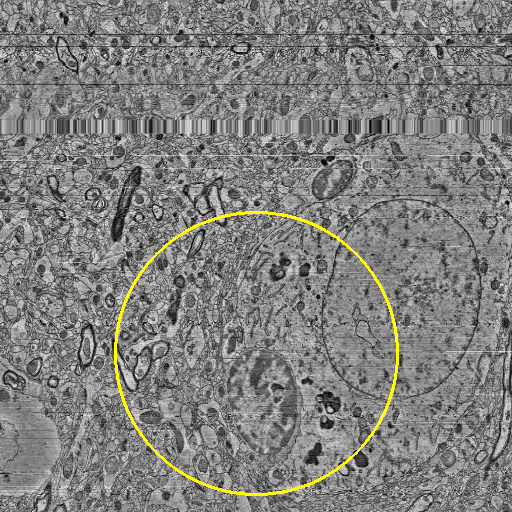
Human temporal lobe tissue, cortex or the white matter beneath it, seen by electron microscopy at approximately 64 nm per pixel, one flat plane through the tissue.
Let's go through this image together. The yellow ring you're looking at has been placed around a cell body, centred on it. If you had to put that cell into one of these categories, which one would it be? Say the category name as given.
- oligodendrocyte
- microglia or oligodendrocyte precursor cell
oligodendrocyte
